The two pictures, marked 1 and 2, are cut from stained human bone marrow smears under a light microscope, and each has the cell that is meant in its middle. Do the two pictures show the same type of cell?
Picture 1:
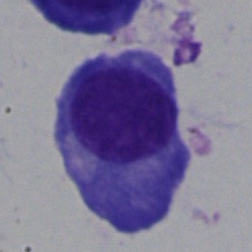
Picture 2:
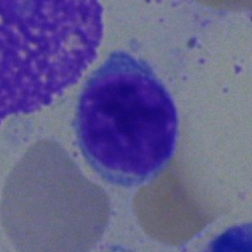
no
